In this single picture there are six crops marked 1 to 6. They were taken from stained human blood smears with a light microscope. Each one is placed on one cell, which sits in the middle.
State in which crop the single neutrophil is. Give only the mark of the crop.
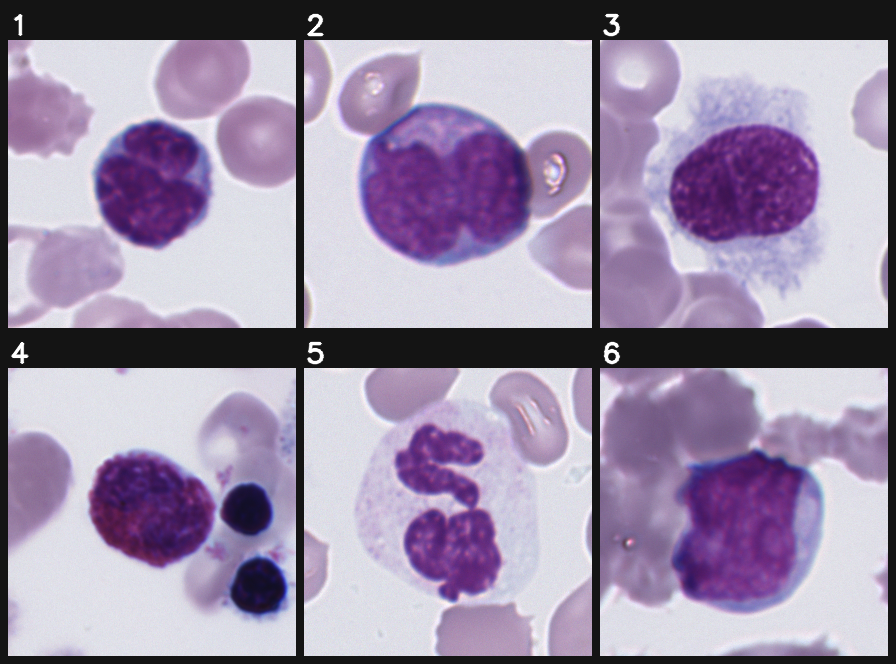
5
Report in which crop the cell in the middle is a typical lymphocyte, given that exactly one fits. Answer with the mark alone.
1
